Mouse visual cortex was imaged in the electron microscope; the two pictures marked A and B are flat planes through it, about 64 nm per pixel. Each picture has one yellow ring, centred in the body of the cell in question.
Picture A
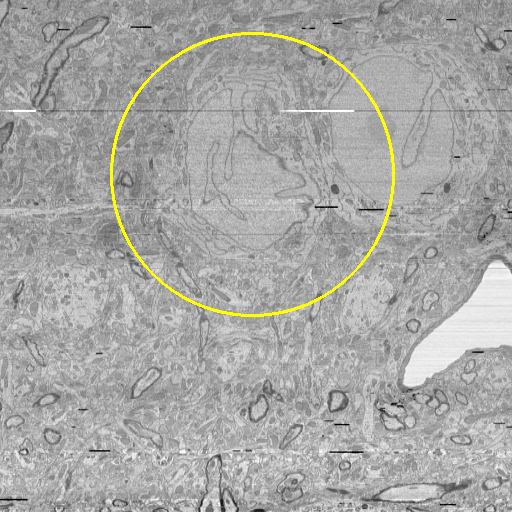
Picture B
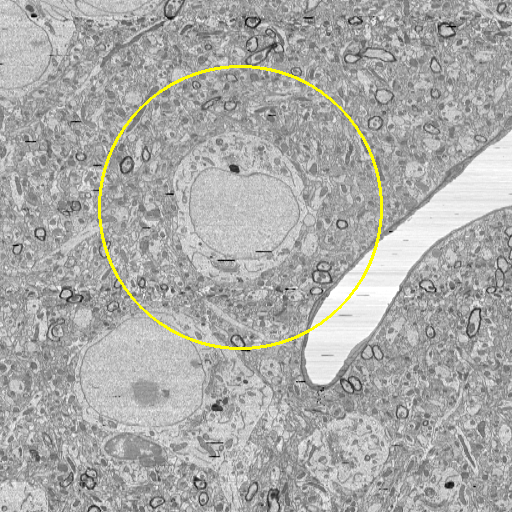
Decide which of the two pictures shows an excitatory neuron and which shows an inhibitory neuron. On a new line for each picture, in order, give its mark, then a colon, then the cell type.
A: inhibitory neuron
B: excitatory neuron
